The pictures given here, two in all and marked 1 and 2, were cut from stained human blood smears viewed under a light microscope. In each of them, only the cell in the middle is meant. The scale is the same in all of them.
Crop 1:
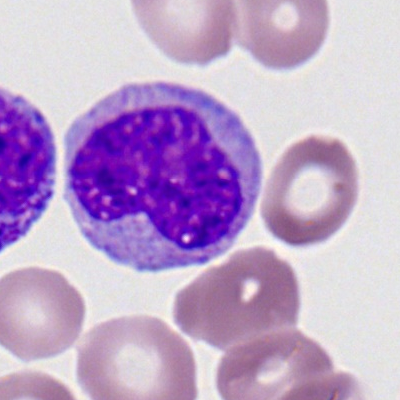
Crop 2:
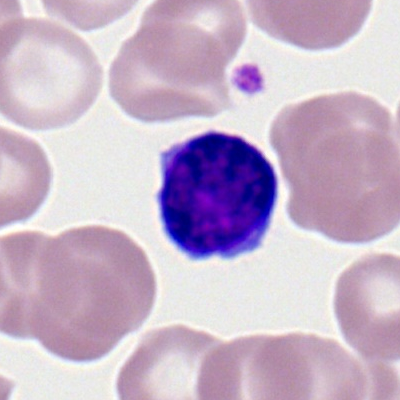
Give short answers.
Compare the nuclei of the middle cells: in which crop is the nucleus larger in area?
1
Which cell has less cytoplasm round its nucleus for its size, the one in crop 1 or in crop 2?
2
